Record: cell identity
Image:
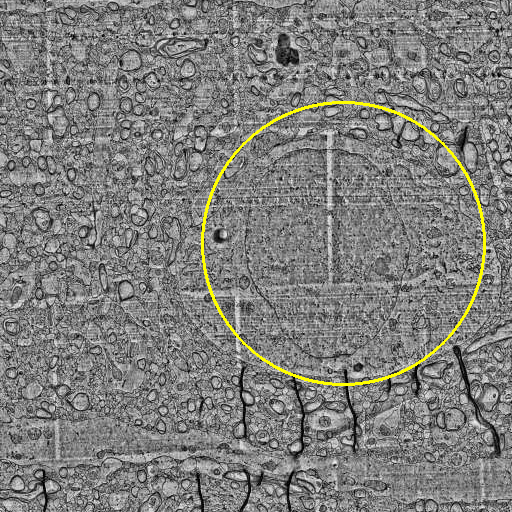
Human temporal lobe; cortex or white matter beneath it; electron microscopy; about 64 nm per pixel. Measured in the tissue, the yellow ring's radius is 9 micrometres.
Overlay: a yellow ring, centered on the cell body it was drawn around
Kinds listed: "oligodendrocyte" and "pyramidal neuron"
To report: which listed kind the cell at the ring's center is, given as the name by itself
pyramidal neuron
